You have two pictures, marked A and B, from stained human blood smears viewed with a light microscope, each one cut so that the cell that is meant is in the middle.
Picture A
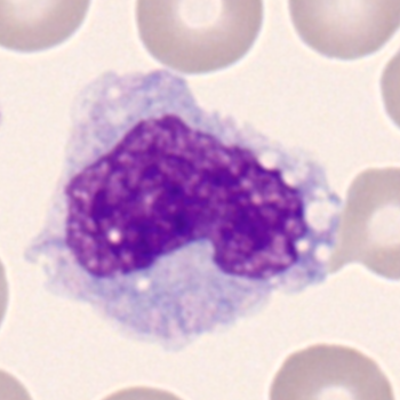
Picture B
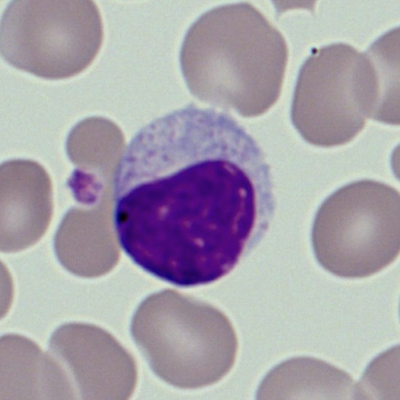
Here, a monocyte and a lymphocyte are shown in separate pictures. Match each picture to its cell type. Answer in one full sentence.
Picture A is of a monocyte, and picture B is of a lymphocyte.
